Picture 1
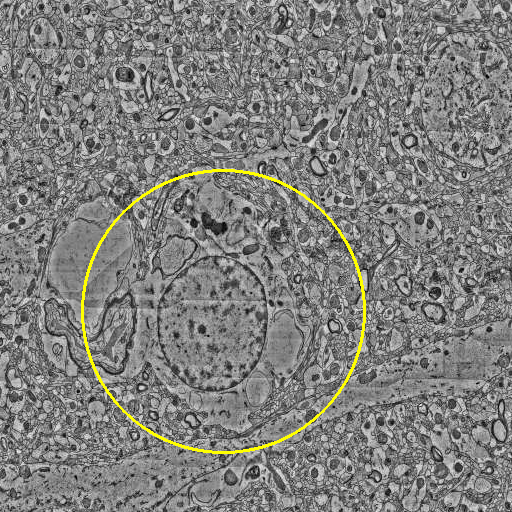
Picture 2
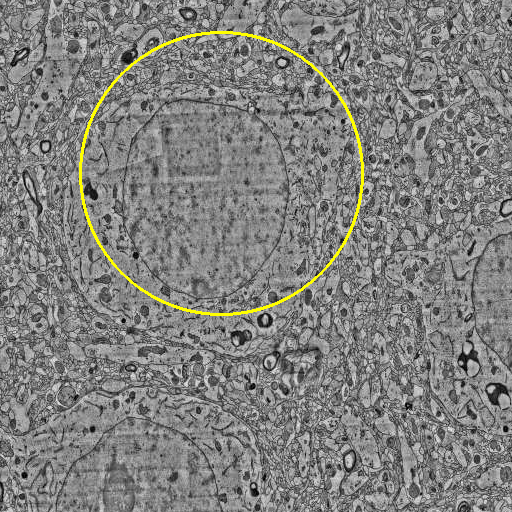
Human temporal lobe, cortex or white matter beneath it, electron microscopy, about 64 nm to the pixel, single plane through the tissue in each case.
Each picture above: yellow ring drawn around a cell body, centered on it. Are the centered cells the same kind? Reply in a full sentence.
No, the two cells are two kinds of cell.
